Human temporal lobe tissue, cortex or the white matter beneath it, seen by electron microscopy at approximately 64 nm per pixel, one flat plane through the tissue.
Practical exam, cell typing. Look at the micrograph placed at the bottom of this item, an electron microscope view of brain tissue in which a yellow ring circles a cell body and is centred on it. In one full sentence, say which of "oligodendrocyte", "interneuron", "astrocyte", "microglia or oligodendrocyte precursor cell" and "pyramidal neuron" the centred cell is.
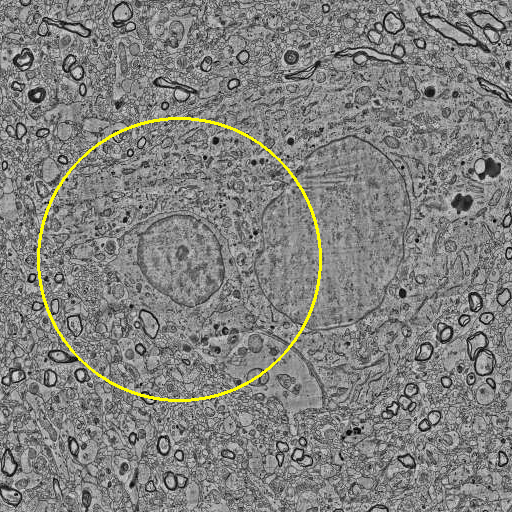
Given the options, an oligodendrocyte fits the cell whose body the yellow ring is centred on.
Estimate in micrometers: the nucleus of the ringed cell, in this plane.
Approximately 6 by 5 micrometers in this plane.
